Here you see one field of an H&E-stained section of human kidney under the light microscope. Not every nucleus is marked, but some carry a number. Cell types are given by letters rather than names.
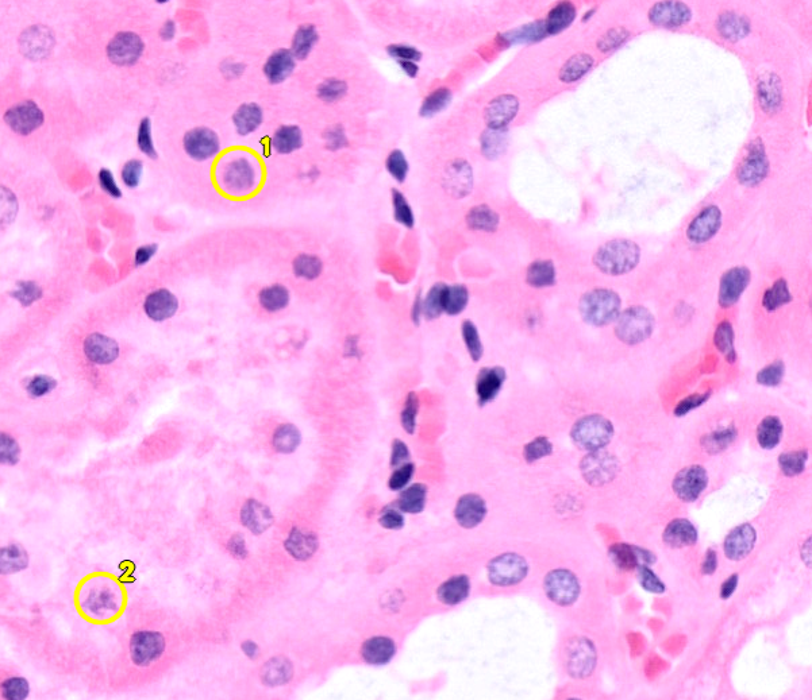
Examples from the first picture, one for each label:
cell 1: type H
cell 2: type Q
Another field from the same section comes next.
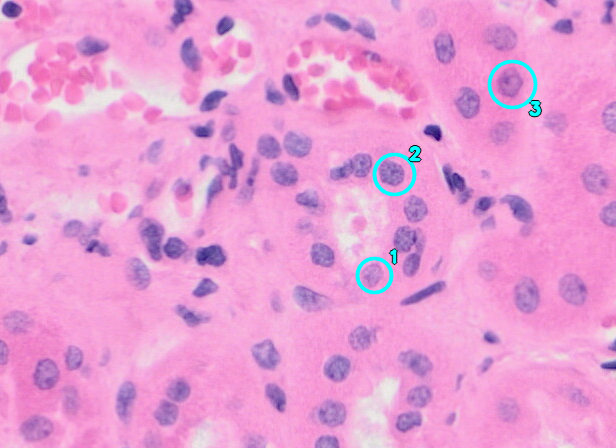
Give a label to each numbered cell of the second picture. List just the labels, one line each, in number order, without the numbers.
type H
type H
type Q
